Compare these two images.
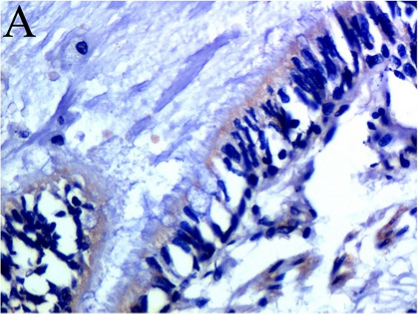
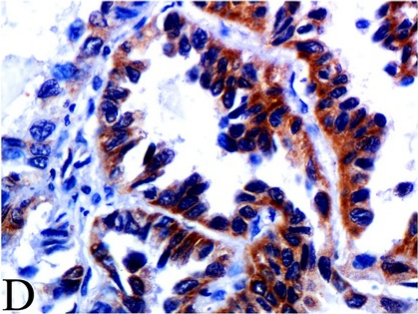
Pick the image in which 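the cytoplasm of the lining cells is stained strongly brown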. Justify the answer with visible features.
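The second image. Second image: lining cells have intense brown cytoplasm around dark nuclei. First image: columnar cells are mostly blue with only a faint tan tinge.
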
